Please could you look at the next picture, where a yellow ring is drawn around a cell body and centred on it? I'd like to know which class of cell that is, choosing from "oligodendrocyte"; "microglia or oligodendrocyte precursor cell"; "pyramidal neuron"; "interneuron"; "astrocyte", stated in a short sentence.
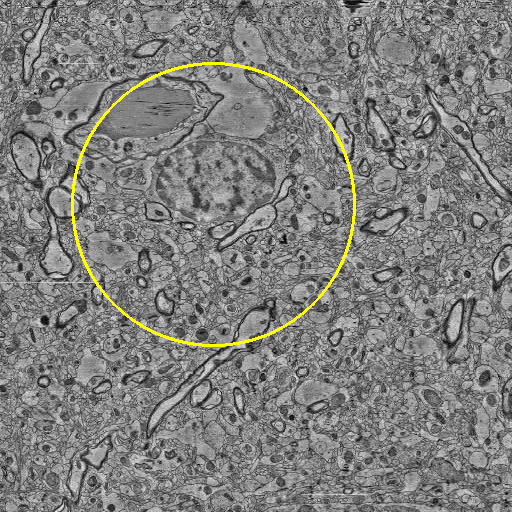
The ring's centre lies on an oligodendrocyte.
